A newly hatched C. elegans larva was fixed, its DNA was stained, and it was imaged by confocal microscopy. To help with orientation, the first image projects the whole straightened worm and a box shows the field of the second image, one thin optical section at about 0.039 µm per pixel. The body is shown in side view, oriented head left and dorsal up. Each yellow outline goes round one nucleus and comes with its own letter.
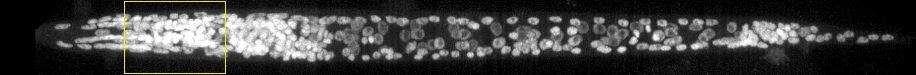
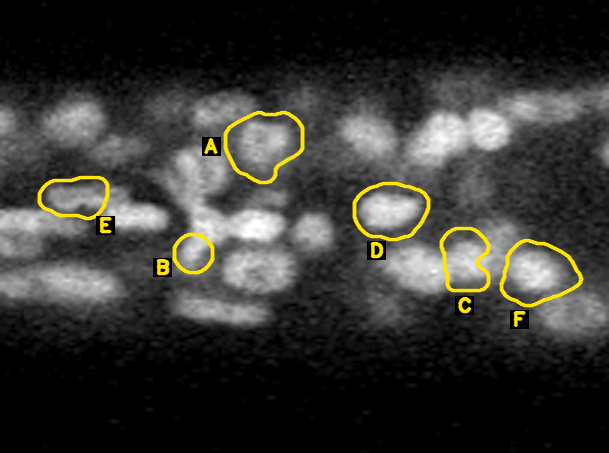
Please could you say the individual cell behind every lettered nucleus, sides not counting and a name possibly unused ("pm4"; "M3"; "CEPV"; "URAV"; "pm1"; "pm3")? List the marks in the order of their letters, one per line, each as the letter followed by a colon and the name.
A: pm4
B: pm1
C: URAV
D: M3
E: pm3
F: CEPV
